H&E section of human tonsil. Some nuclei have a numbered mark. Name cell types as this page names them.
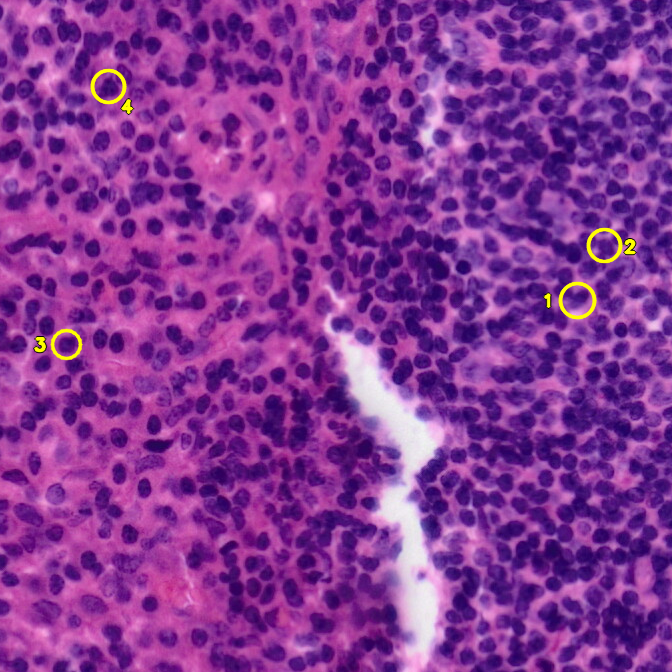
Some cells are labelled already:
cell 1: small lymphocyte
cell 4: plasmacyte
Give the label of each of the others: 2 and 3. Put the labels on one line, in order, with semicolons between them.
small lymphocyte; plasmacyte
